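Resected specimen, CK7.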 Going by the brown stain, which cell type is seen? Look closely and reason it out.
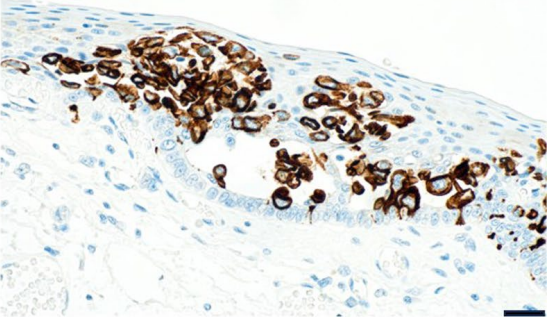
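Brown-stained cells are large and rounded, in clusters. They sit within the epithelium among unstained cells. The basal row of cells is largely unstained. On this evidence: Tumor cells.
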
